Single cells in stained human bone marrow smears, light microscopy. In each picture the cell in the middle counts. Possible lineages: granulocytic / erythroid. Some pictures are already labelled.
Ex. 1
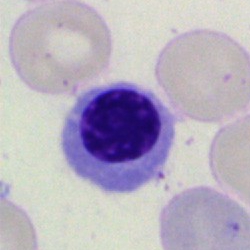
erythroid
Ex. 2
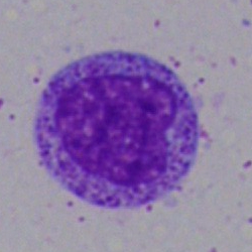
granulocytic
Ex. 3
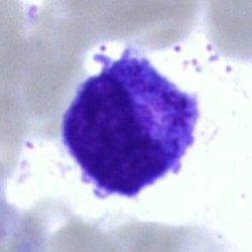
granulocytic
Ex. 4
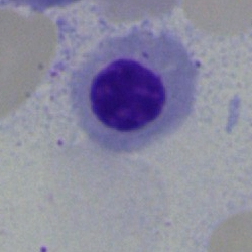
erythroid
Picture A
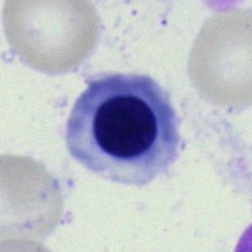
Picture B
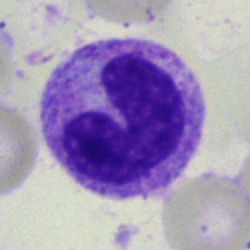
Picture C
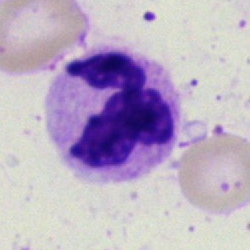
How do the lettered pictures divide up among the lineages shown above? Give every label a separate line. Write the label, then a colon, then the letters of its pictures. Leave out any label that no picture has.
granulocytic: B, C
erythroid: A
